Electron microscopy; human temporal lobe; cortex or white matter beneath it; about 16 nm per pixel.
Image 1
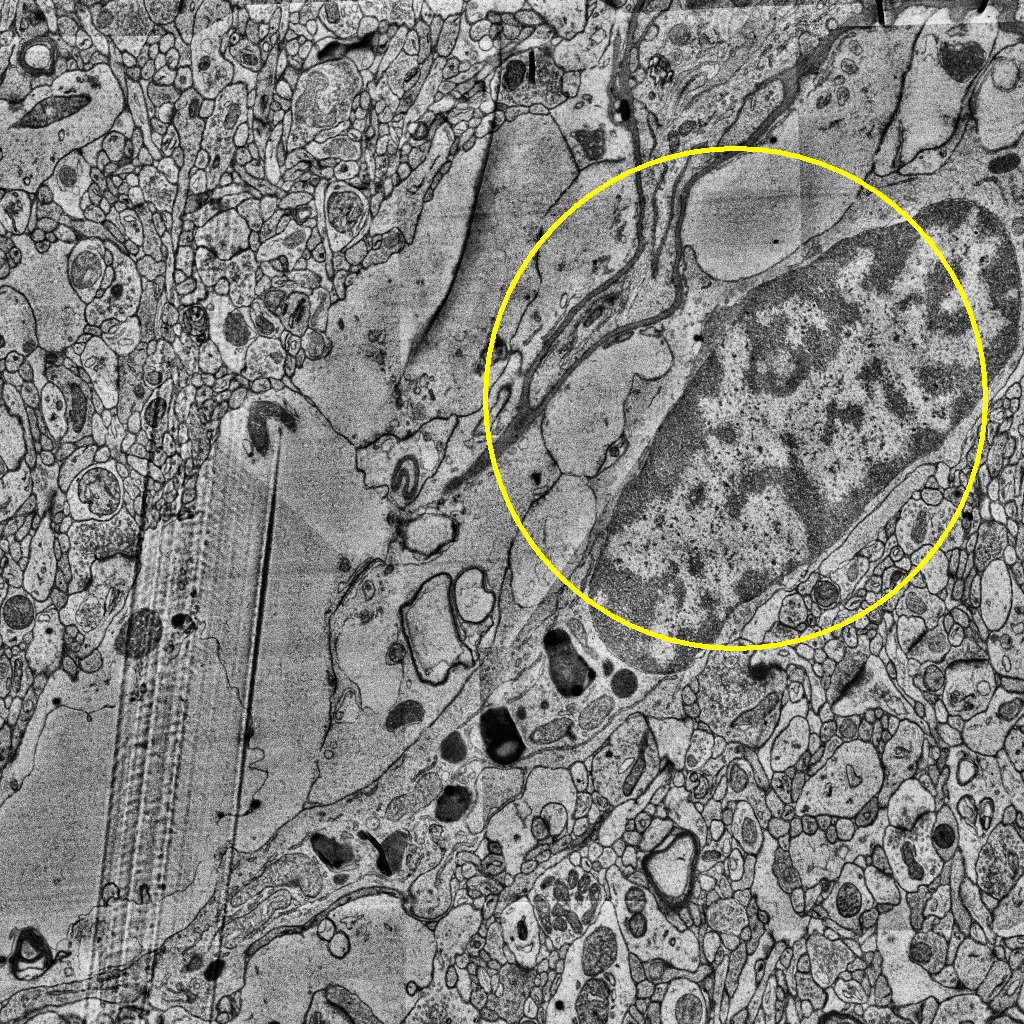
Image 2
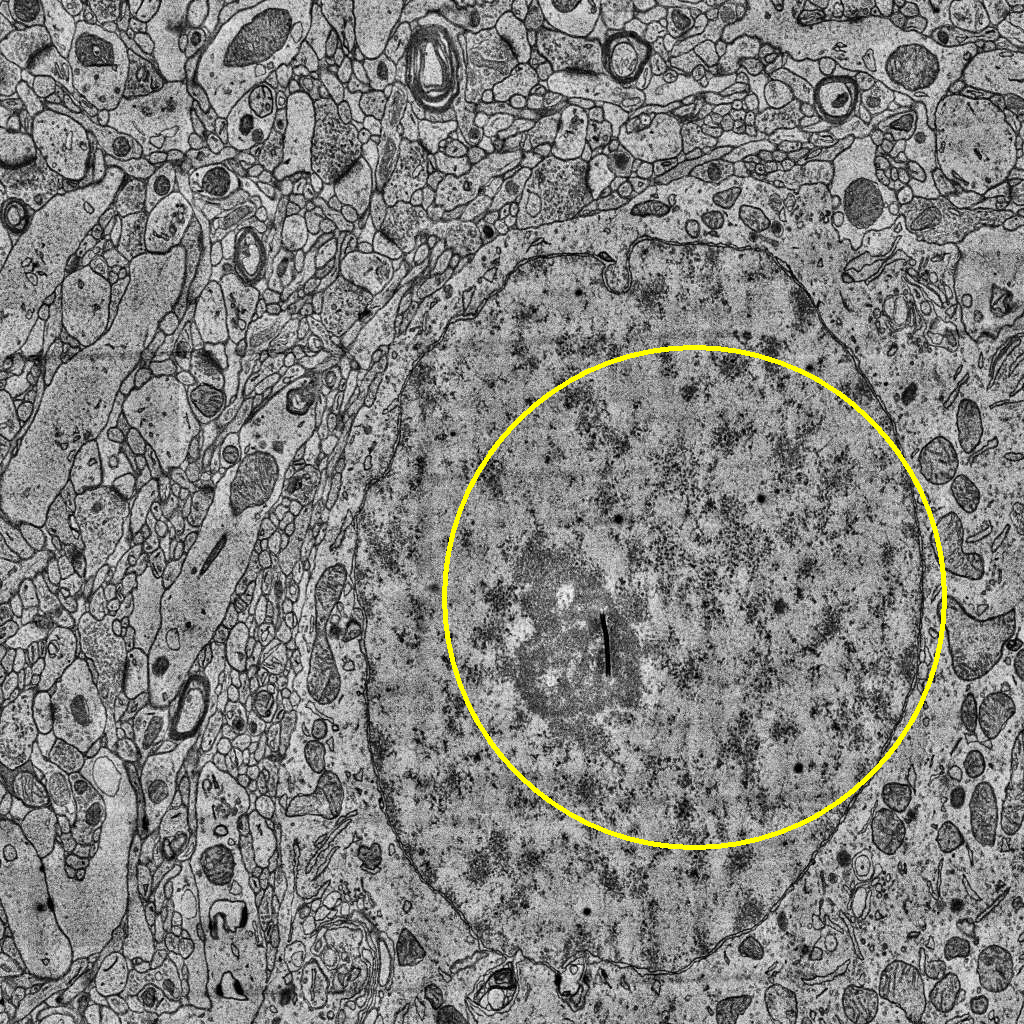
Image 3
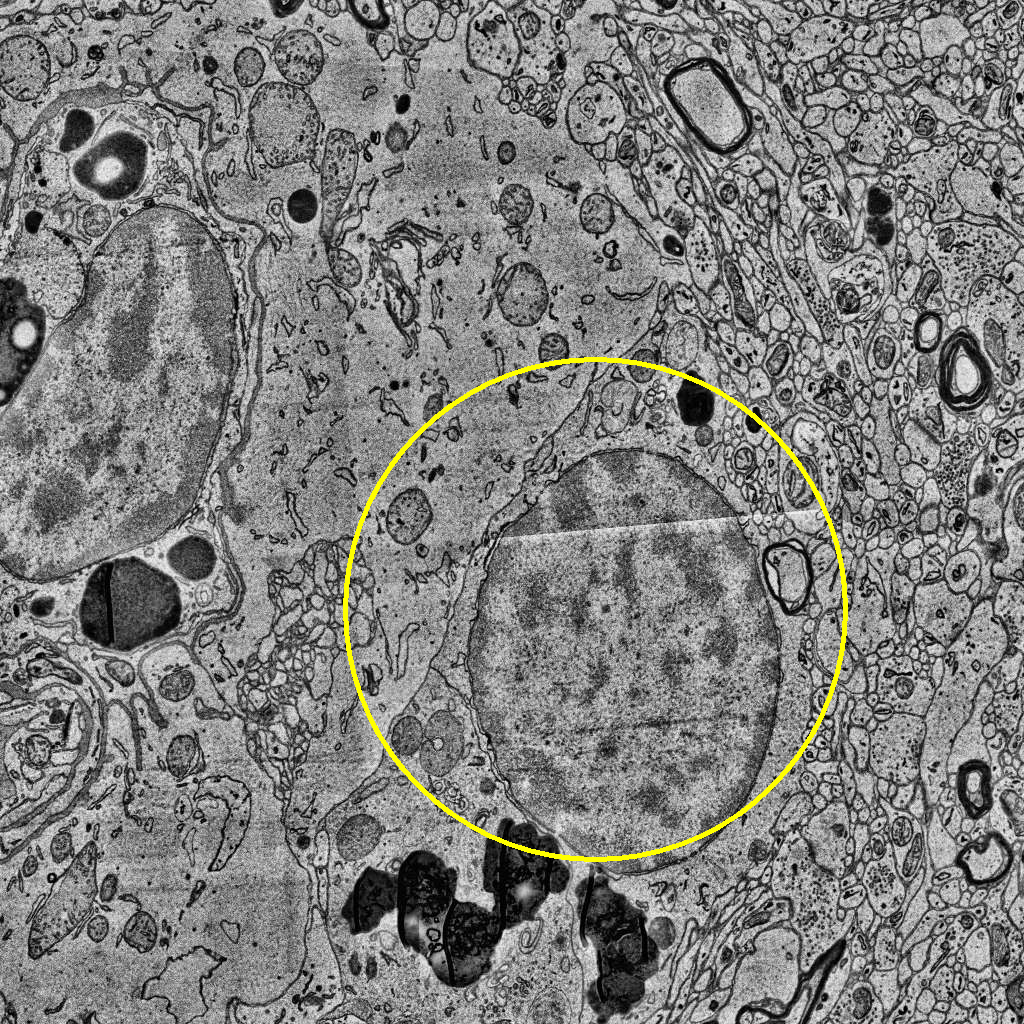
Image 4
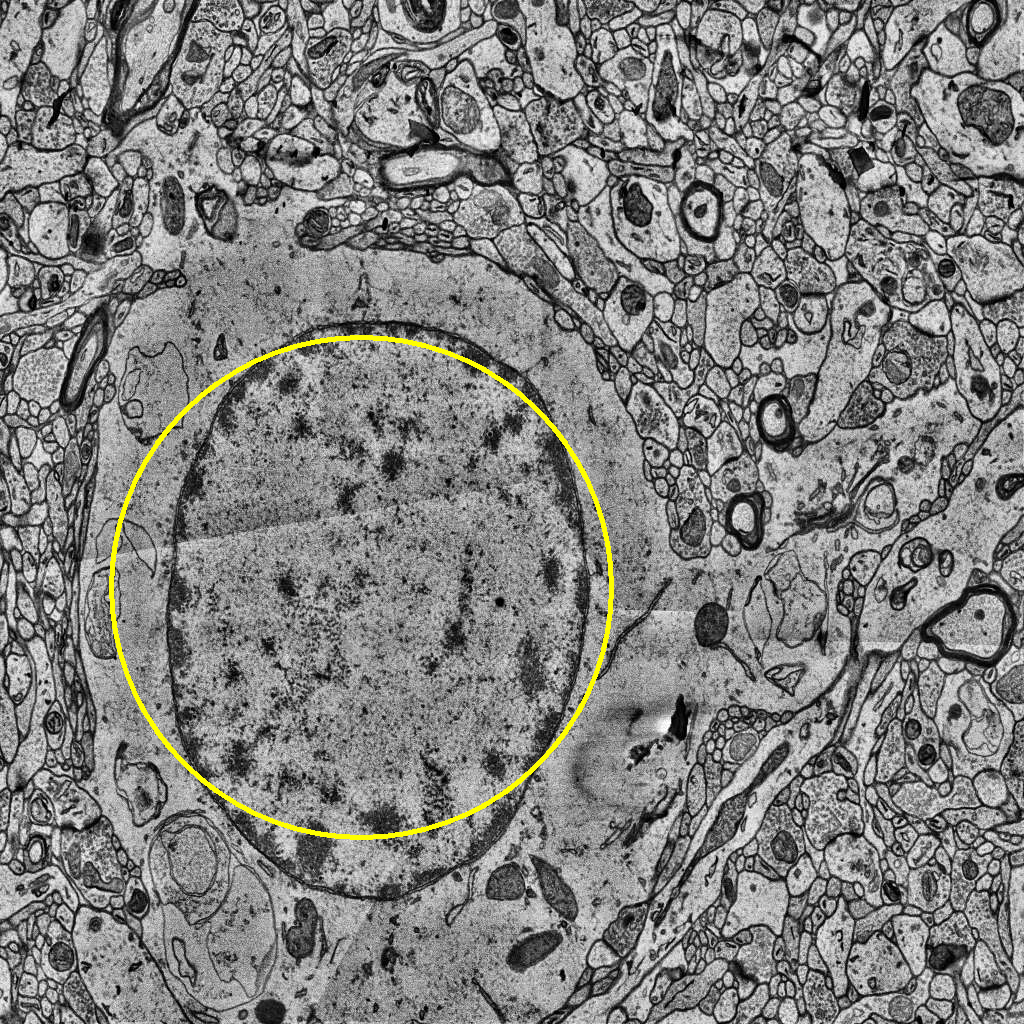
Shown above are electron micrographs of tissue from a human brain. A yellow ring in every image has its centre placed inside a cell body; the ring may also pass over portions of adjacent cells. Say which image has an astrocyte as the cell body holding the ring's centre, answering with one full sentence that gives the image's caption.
The image whose ring has its centre inside the requested cell is Image 4.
